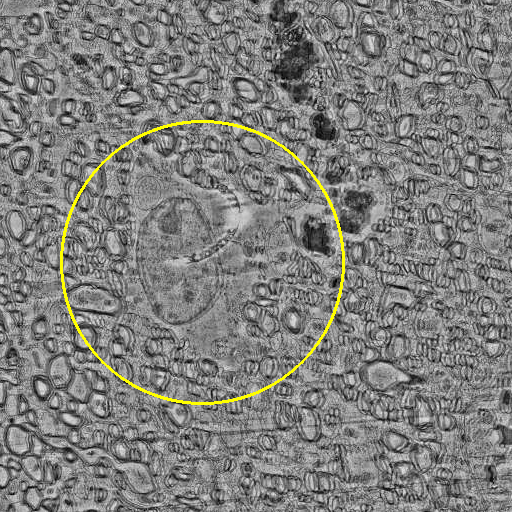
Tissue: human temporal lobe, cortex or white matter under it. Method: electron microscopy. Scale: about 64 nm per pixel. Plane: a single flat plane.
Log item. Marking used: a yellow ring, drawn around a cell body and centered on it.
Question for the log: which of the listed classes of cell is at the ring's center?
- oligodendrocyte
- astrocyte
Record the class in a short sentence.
At the center of the ring lies an astrocyte.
